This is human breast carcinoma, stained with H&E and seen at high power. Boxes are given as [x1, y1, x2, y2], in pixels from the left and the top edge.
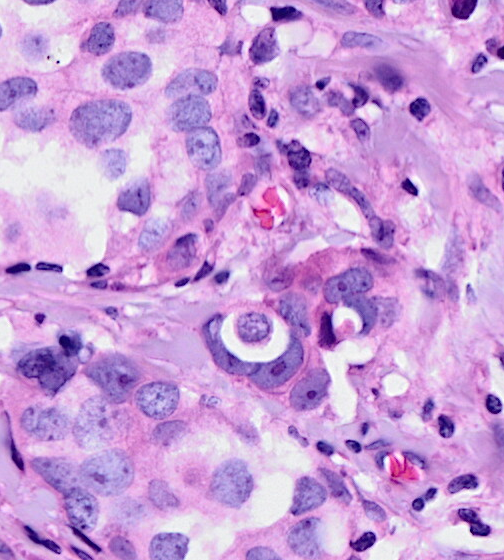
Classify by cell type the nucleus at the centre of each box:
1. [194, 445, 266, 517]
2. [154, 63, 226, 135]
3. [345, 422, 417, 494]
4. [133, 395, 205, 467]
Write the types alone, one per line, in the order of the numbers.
carcinoma cell
carcinoma cell
endothelial cell
carcinoma cell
